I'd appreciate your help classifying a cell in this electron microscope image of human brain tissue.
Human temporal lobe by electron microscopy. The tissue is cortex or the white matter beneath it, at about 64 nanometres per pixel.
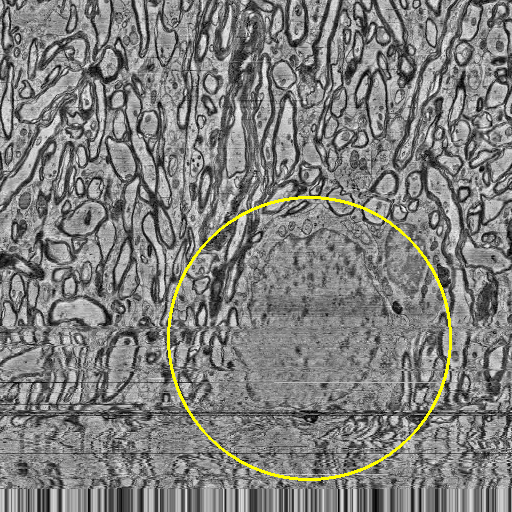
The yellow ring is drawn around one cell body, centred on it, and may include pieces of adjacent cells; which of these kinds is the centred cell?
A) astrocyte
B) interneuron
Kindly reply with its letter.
B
